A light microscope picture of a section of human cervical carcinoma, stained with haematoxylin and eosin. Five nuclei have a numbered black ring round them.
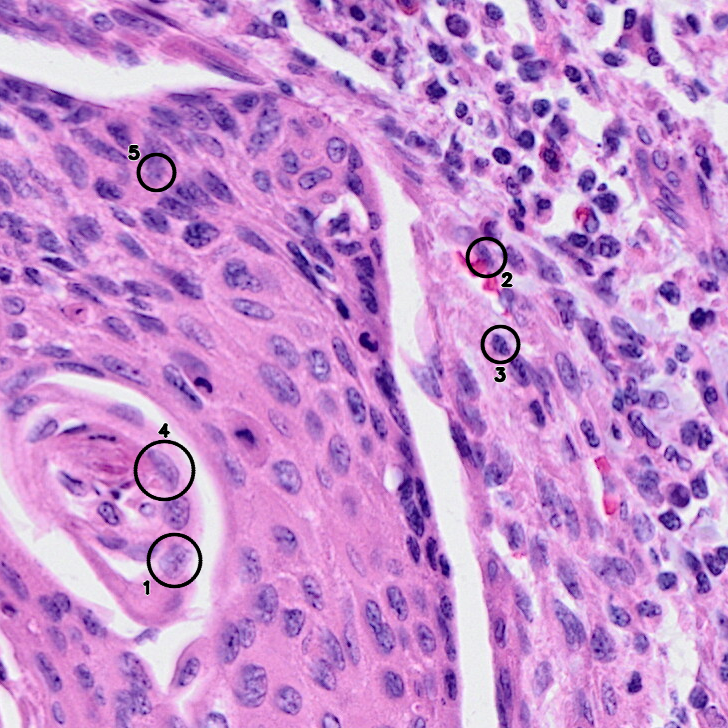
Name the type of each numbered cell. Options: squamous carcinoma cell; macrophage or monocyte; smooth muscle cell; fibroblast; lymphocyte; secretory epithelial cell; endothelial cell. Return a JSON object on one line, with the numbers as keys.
{"1": "squamous carcinoma cell", "2": "endothelial cell", "3": "lymphocyte", "4": "squamous carcinoma cell", "5": "squamous carcinoma cell"}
